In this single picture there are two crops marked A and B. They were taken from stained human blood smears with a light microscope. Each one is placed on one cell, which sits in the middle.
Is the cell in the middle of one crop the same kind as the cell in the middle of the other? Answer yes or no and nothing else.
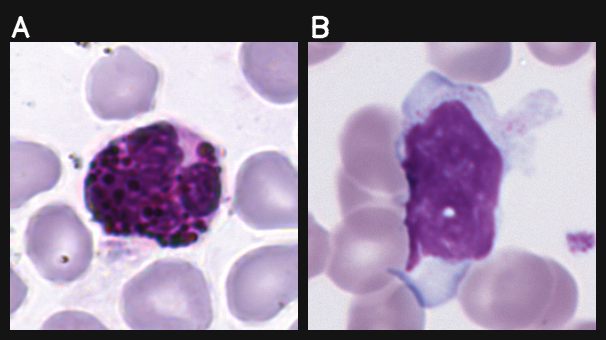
no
